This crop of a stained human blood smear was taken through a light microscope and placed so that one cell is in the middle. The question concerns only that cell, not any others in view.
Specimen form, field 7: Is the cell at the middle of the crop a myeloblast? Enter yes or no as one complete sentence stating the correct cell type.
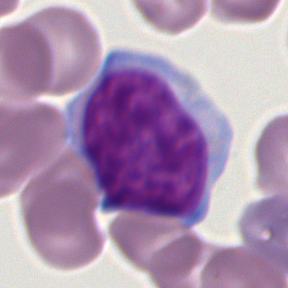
Yes, the crop is centred on a myeloblast.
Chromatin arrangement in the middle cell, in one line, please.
If you check the nucleus, you will find the chromatin coarsely clumped.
